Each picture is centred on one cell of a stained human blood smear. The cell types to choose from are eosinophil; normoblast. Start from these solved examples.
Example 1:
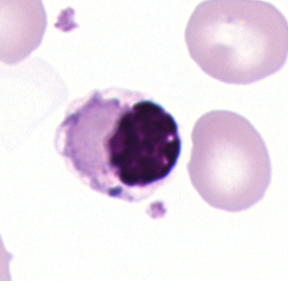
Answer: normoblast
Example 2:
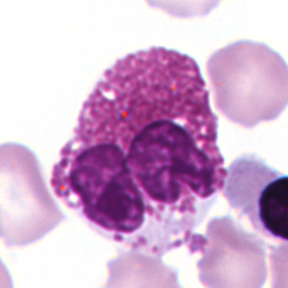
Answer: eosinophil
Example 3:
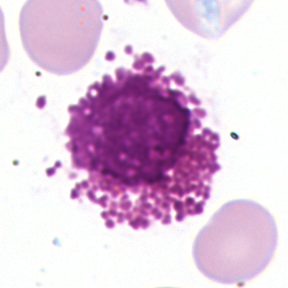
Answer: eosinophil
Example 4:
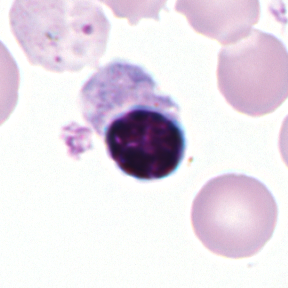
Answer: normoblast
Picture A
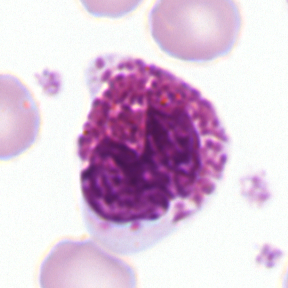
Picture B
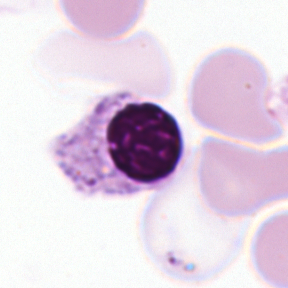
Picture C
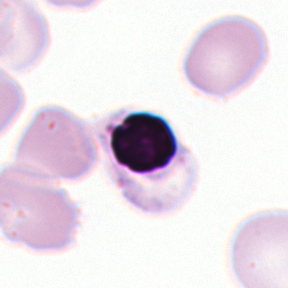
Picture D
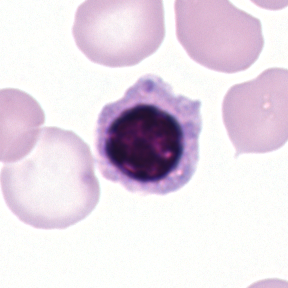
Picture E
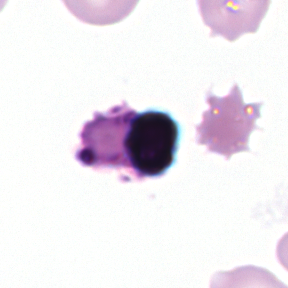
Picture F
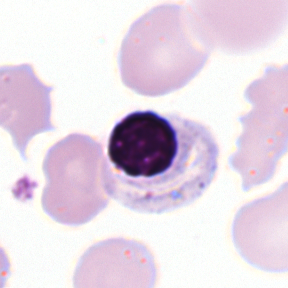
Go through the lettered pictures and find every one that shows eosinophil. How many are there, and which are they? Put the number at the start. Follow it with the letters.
Count: 1 (A)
